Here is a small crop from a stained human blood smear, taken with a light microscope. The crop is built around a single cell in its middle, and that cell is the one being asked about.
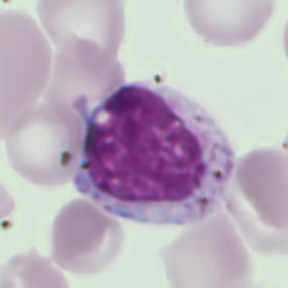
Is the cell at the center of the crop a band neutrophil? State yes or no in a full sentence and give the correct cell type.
No, the cell in the middle of the crop counts as a metamyelocyte and not as a band neutrophil.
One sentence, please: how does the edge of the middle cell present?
This cell does not have a smooth edge; it is ragged or extended into projections.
